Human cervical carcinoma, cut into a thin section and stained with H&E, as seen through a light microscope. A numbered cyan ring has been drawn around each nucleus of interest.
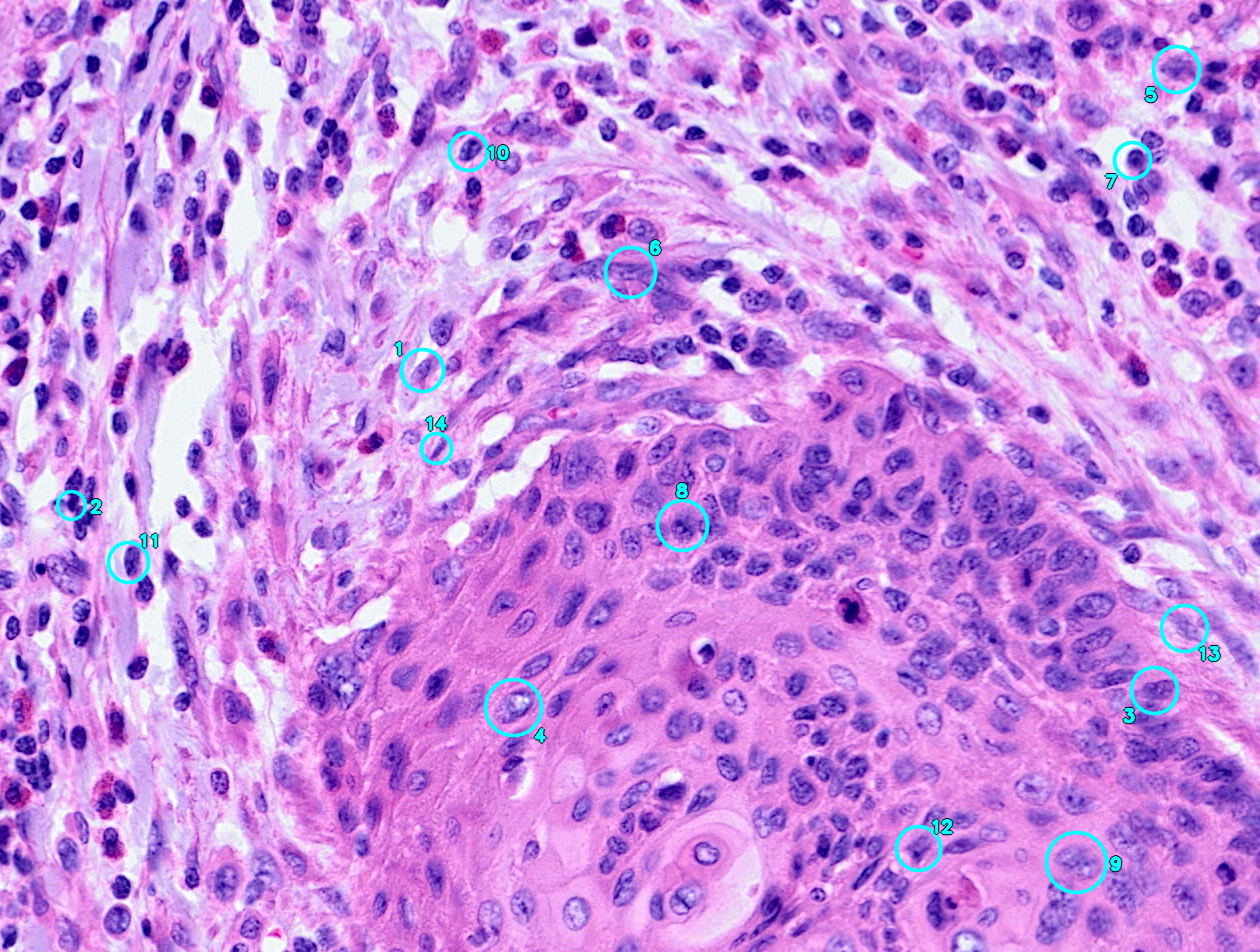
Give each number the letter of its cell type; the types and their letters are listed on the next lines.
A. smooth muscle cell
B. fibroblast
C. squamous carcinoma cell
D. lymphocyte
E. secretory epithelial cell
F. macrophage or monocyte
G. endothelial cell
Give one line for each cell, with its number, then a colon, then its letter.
1: B
2: D
3: C
4: C
5: F
6: G
7: D
8: C
9: C
10: D
11: D
12: C
13: B
14: B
